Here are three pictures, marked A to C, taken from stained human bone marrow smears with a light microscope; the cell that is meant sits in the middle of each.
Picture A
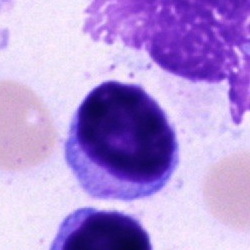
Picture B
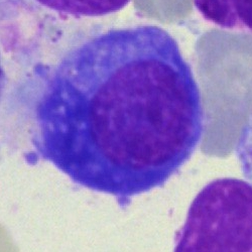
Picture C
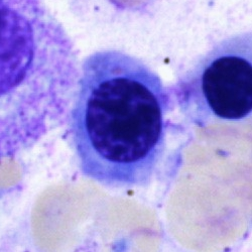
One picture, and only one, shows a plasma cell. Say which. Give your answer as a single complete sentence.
Picture B is the one that shows the plasma cell.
